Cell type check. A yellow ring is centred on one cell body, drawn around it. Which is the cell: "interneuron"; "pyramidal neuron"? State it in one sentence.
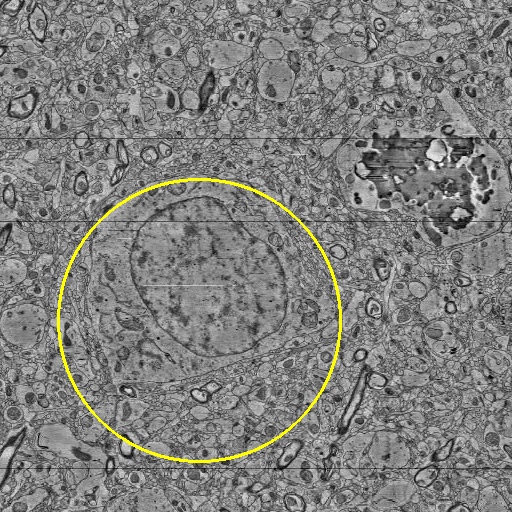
The cell body at the ring's centre belongs to a pyramidal neuron.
